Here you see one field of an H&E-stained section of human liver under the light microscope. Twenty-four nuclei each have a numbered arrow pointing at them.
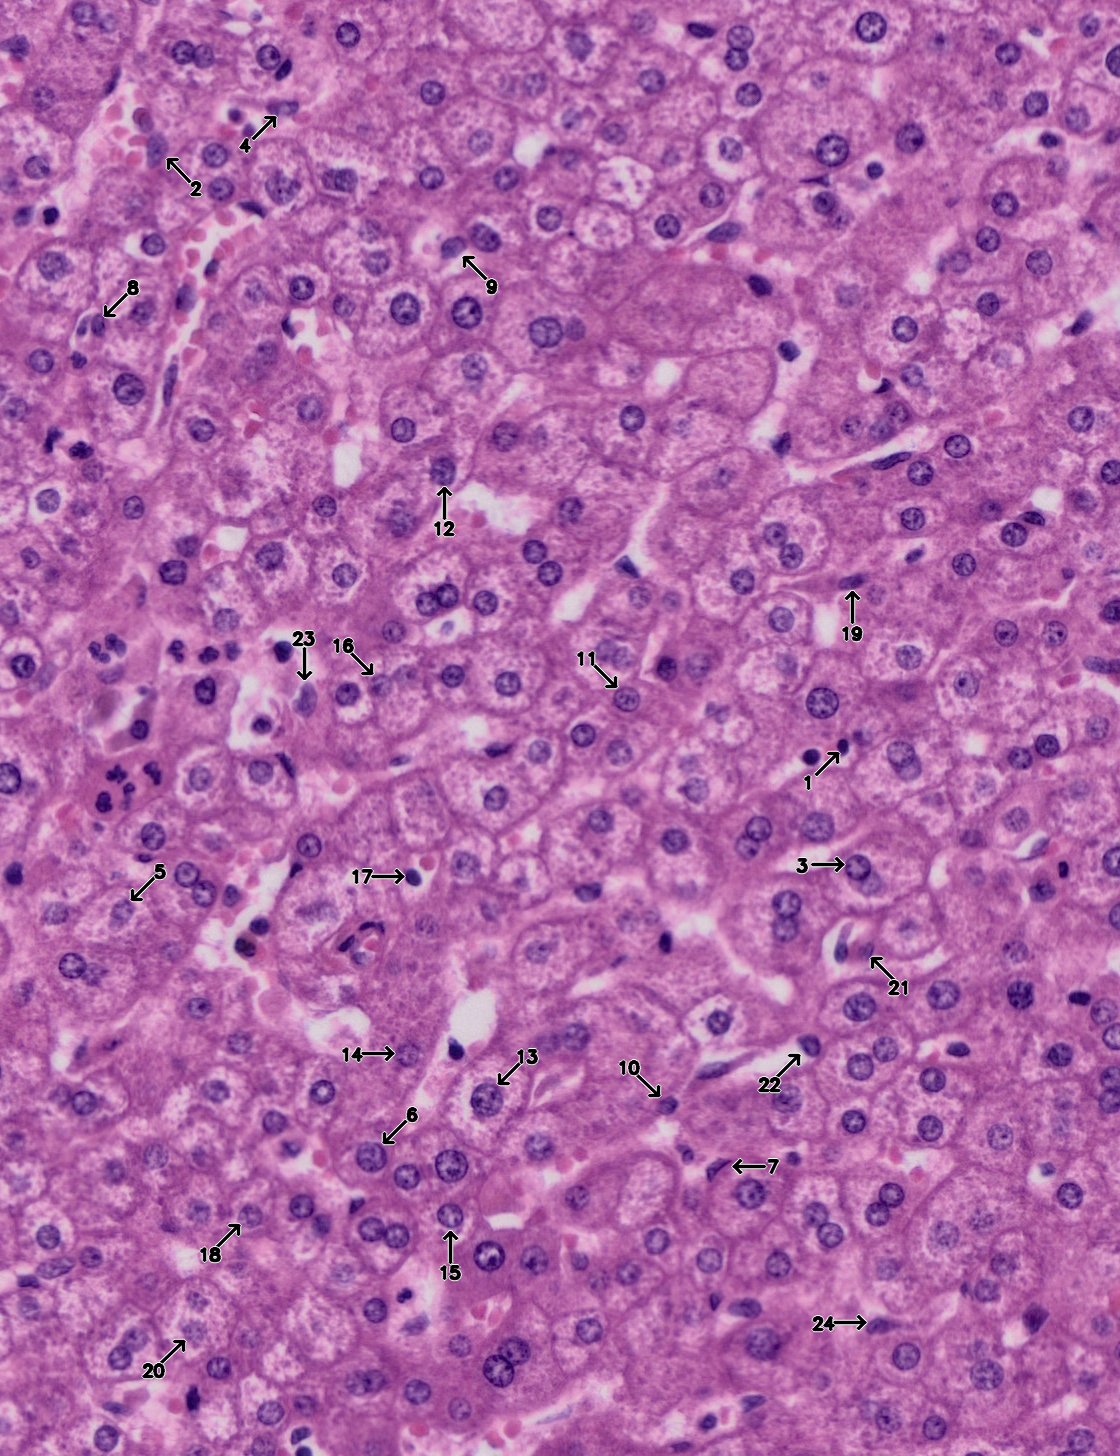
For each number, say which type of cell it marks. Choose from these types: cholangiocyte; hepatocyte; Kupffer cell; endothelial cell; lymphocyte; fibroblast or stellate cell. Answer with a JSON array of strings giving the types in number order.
["lymphocyte", "endothelial cell", "hepatocyte", "Kupffer cell", "hepatocyte", "hepatocyte", "endothelial cell", "Kupffer cell", "Kupffer cell", "fibroblast or stellate cell", "hepatocyte", "hepatocyte", "hepatocyte", "hepatocyte", "hepatocyte", "hepatocyte", "lymphocyte", "hepatocyte", "Kupffer cell", "hepatocyte", "Kupffer cell", "endothelial cell", "endothelial cell", "Kupffer cell"]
